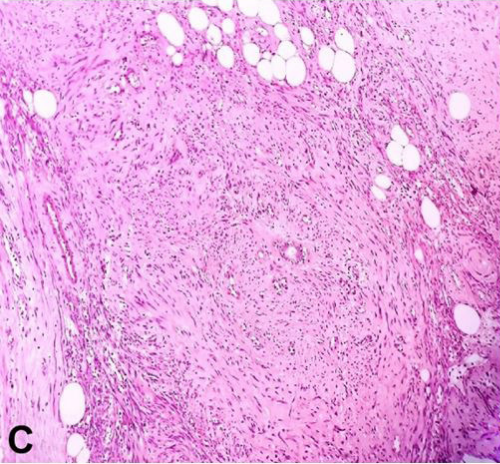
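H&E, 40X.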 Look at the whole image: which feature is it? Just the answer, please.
Adipocytic aggregates.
